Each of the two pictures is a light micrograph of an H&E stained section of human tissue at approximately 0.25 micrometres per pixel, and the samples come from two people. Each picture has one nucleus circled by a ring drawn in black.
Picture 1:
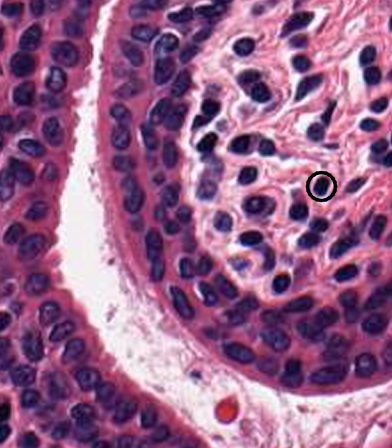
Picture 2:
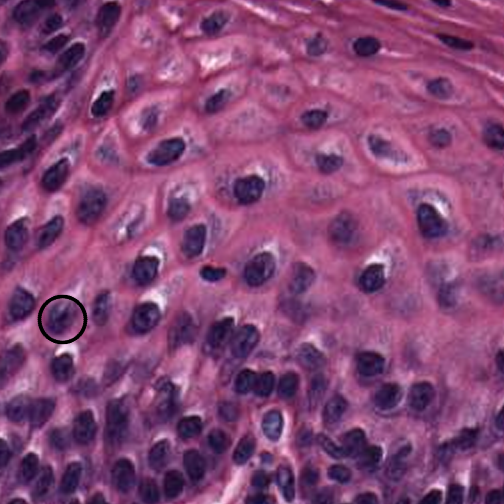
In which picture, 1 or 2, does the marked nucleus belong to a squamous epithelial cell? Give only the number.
2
